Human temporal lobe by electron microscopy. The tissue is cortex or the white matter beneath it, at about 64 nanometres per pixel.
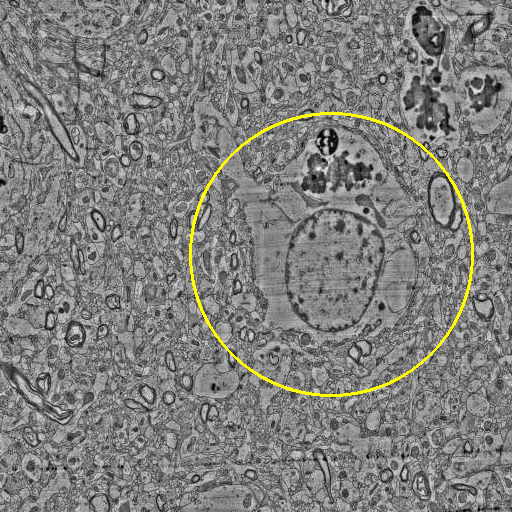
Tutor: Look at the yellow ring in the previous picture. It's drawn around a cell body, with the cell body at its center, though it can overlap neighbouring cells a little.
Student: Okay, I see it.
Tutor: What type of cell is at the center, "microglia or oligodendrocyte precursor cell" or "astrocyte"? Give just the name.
astrocyte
